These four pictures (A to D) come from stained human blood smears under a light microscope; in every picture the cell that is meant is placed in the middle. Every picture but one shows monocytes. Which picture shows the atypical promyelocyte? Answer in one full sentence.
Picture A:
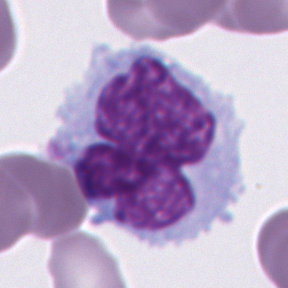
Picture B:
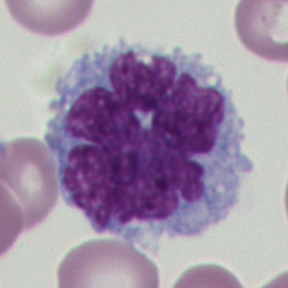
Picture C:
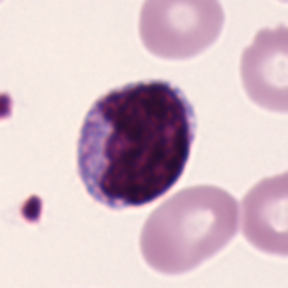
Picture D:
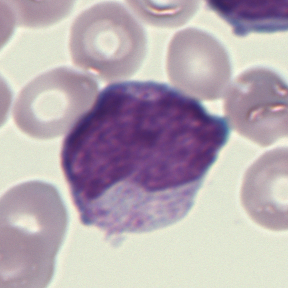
The atypical promyelocyte is the one in picture D.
